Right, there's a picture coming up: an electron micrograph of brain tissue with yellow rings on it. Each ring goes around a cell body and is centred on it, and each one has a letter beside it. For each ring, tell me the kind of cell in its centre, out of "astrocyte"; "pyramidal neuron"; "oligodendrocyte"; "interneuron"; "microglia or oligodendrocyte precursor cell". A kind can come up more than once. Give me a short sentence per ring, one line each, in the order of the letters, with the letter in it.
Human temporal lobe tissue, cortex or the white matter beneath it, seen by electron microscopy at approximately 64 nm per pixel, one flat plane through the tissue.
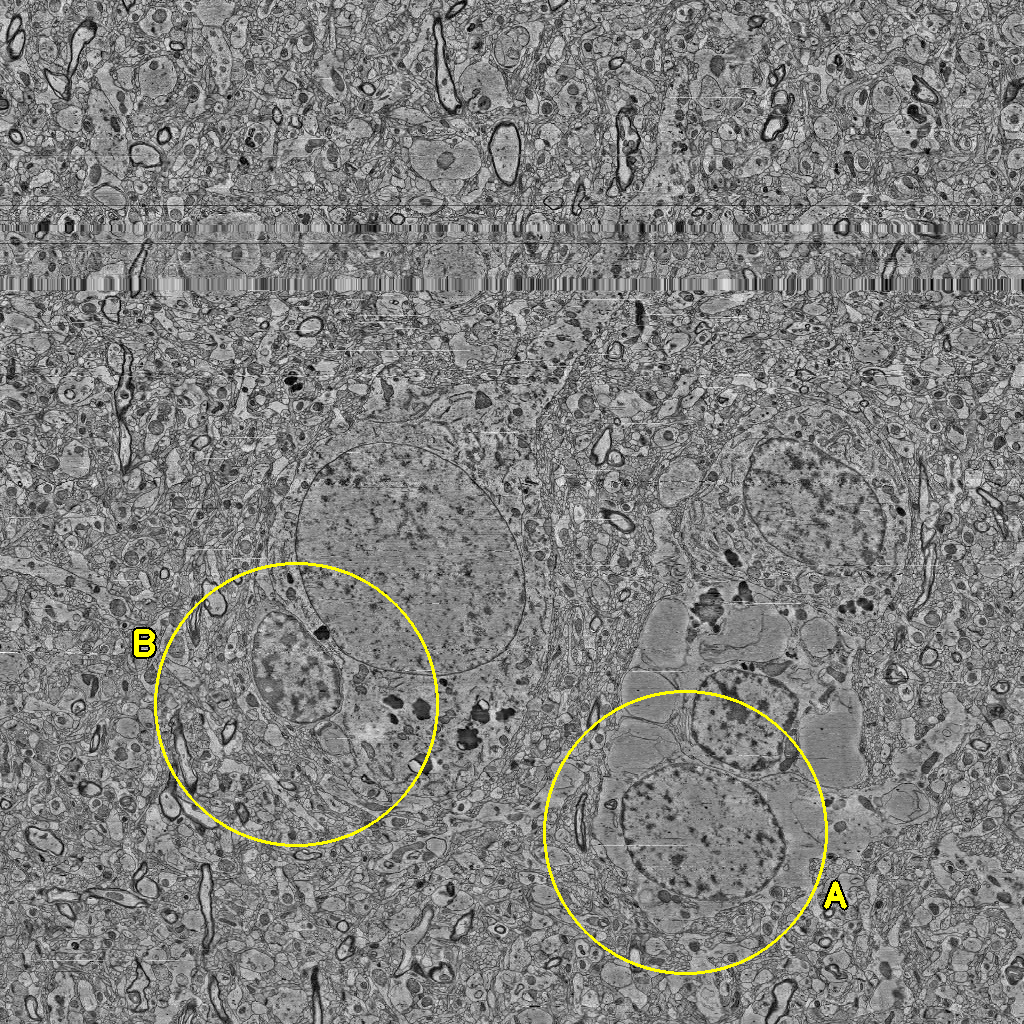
That's an astrocyte in ring A.
That's an oligodendrocyte in ring B.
